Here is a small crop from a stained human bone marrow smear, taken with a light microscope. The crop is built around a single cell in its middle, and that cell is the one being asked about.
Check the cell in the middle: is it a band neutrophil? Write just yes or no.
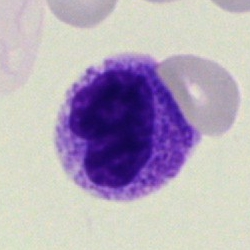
yes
